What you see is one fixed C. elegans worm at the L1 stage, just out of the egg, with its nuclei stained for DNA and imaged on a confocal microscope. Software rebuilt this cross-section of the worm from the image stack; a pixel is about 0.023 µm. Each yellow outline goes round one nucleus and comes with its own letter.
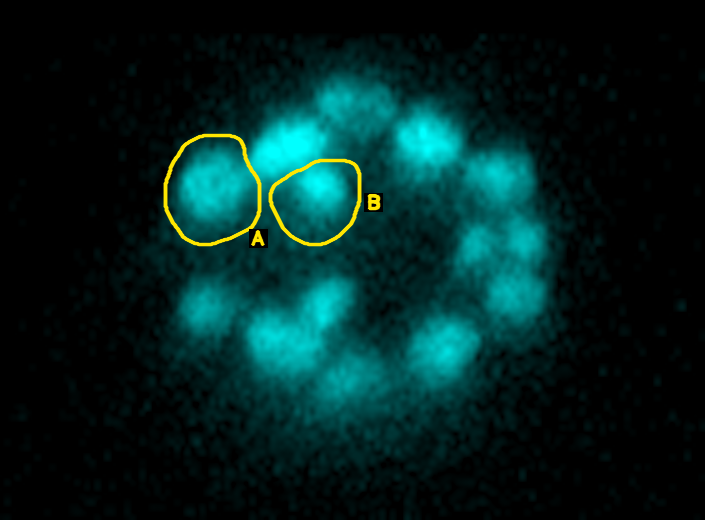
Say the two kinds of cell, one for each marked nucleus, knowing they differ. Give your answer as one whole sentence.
The nucleus A is that of a body wall muscle cell, while B is that of a neuron.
